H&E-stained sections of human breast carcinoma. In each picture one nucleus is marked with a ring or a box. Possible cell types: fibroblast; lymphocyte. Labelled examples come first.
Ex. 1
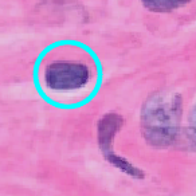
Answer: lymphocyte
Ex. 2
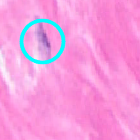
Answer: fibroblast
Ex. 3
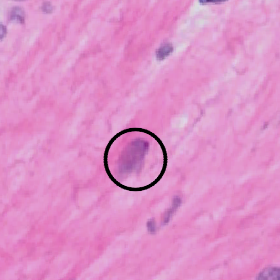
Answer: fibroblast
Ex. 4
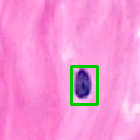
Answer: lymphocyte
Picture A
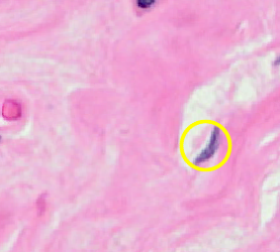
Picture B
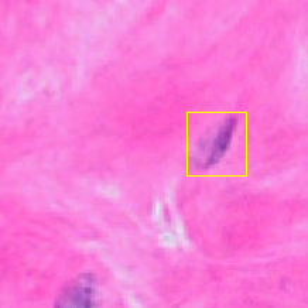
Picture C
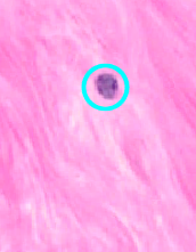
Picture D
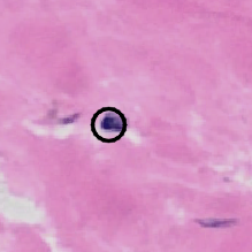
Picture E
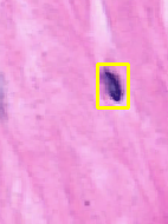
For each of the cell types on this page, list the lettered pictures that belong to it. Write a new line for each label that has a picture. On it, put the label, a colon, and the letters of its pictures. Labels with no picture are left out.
fibroblast: A, B
lymphocyte: C, D, E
